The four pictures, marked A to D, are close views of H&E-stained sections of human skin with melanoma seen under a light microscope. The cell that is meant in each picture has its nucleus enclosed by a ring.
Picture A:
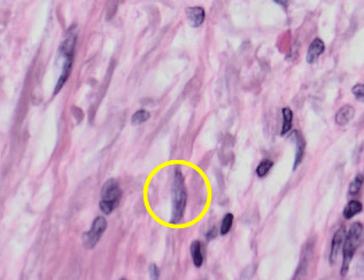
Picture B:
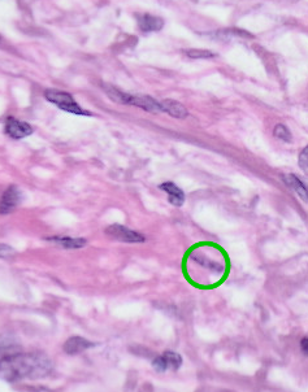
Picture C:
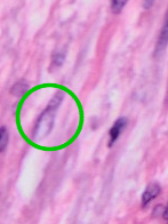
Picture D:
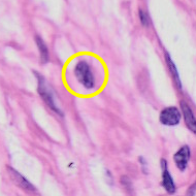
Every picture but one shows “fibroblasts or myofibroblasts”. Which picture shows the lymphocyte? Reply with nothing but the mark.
D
